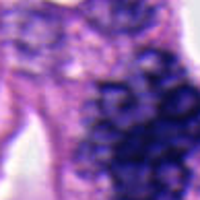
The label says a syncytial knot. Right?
Right.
